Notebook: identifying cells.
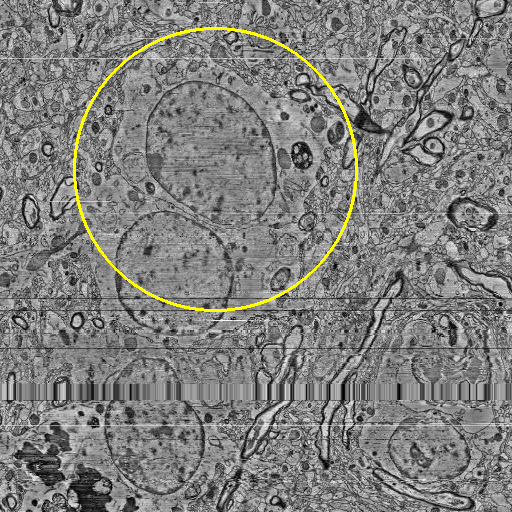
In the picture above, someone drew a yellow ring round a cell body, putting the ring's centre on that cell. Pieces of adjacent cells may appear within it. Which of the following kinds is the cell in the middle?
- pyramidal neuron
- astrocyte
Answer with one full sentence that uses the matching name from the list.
In this picture, the yellow ring is centred on the body of an astrocyte.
